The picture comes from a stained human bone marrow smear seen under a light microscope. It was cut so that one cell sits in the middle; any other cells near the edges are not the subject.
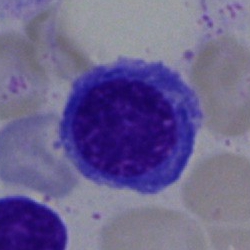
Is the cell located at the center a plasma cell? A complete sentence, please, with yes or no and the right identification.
No, the central cell should be identified as an erythroblast, not as a plasma cell.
